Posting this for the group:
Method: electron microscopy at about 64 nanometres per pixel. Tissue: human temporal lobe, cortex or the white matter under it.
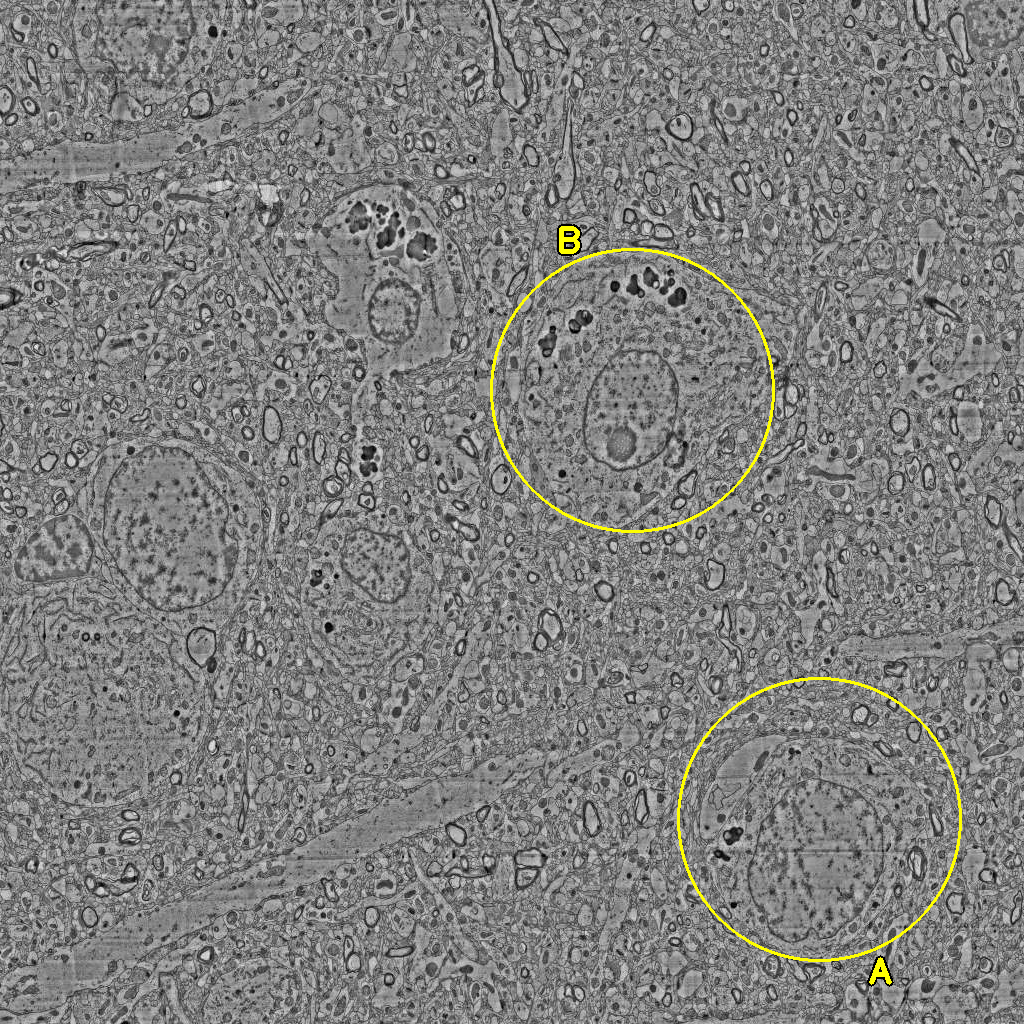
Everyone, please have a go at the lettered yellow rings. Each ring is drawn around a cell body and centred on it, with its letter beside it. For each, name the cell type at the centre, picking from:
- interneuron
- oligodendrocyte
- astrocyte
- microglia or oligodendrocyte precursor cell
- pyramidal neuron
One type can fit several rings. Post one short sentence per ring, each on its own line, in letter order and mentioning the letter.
My call for ring A is a pyramidal neuron.
My call for ring B is a pyramidal neuron.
